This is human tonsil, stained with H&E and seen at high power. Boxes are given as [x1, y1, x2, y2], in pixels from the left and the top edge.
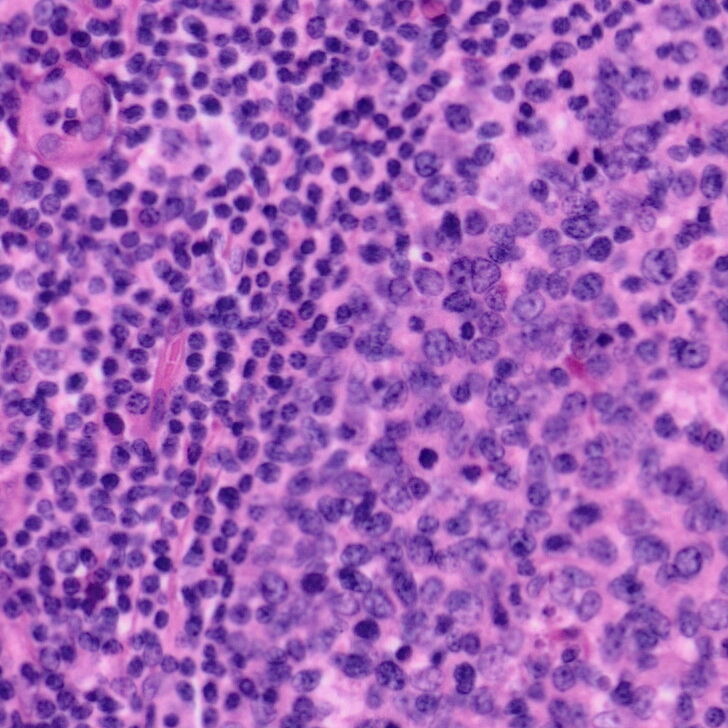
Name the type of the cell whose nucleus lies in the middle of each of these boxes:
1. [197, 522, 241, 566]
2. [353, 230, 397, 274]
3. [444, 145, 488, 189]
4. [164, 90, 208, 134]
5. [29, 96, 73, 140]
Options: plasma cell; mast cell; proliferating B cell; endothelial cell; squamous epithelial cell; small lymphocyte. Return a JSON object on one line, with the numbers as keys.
{"1": "small lymphocyte", "2": "proliferating B cell", "3": "proliferating B cell", "4": "small lymphocyte", "5": "endothelial cell"}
